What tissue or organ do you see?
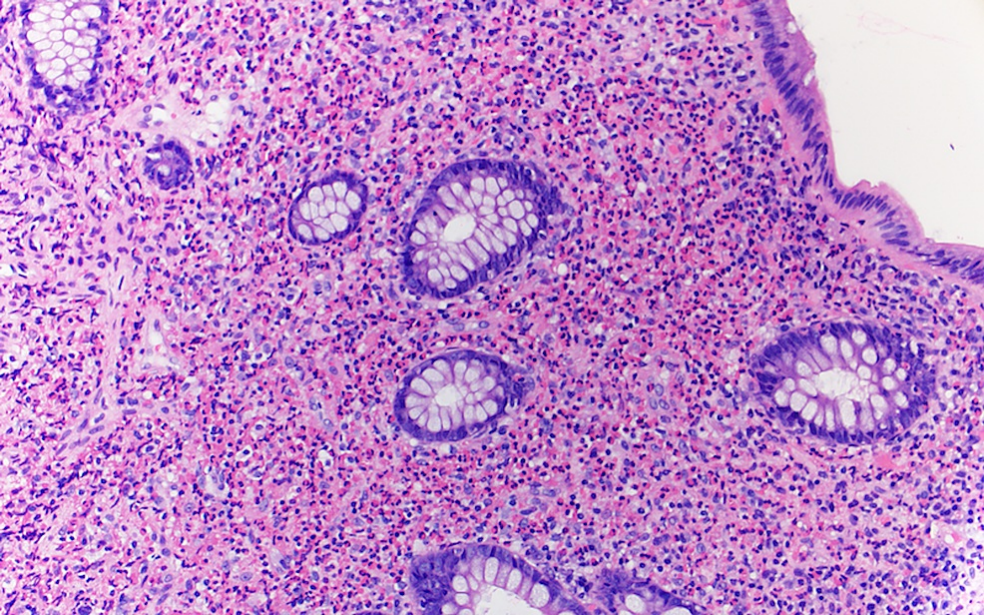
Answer: Colonic mucosa.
